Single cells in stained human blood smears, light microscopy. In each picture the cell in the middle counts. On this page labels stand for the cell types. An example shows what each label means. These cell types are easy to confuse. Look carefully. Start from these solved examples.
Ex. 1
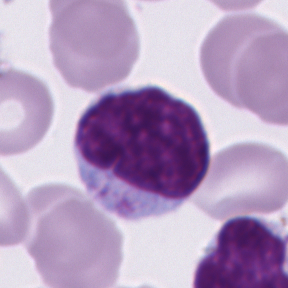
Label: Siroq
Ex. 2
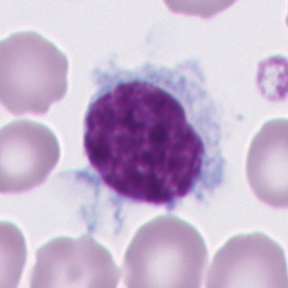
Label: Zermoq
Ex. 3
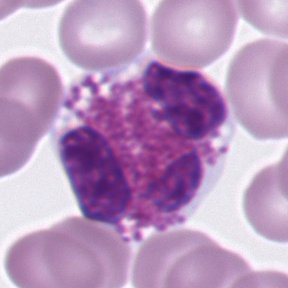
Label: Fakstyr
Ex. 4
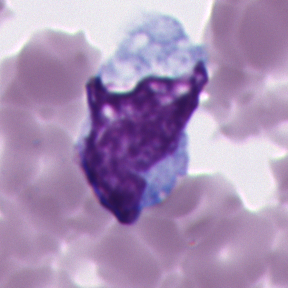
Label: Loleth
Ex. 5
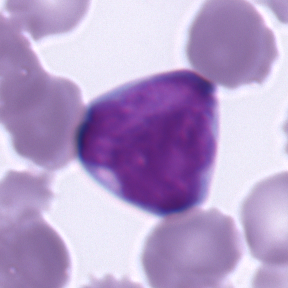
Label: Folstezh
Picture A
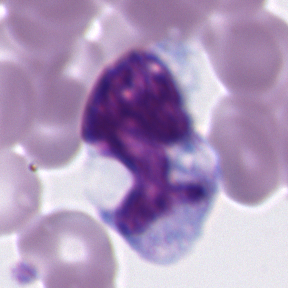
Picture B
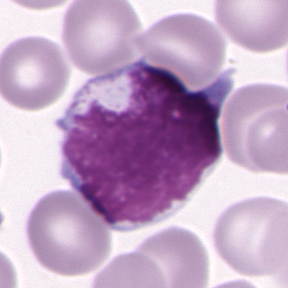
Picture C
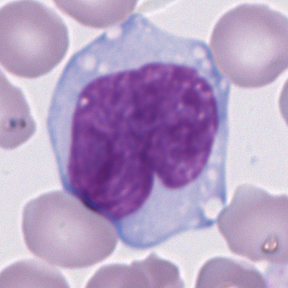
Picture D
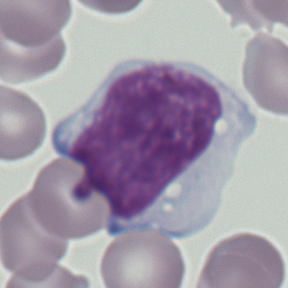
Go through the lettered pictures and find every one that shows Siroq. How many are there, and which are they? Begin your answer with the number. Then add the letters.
1: B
